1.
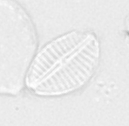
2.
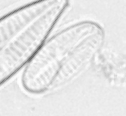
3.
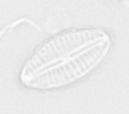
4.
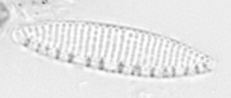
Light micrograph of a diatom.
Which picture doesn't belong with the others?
Picture 4.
